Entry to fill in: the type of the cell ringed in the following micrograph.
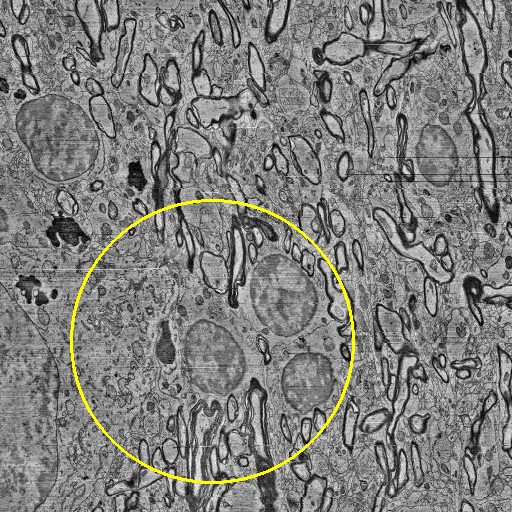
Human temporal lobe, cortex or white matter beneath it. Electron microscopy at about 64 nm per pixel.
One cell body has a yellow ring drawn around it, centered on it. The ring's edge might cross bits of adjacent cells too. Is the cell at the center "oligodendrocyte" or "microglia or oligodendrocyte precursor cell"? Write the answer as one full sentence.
This entry names an oligodendrocyte as the cell whose body lies at the ring's center.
